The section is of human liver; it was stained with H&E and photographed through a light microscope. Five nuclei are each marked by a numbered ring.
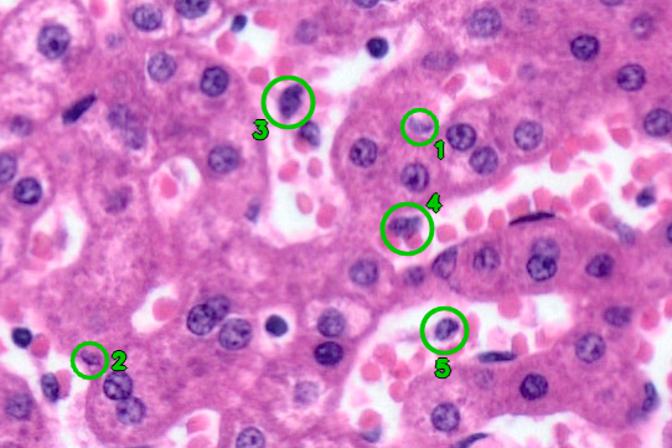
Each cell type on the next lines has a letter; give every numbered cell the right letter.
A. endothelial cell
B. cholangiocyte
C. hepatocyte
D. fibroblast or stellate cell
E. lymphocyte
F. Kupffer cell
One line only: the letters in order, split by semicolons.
A; D; F; A; E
